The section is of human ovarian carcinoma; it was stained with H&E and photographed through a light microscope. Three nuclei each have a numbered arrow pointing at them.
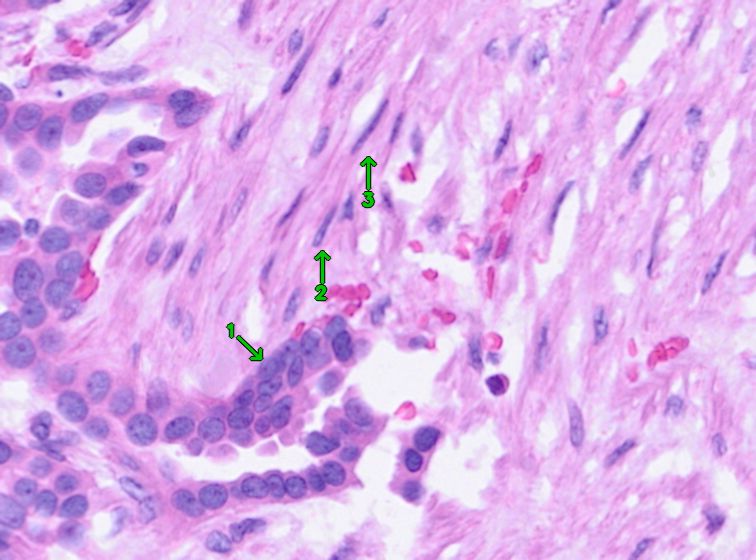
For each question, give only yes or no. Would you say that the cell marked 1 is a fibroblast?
no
